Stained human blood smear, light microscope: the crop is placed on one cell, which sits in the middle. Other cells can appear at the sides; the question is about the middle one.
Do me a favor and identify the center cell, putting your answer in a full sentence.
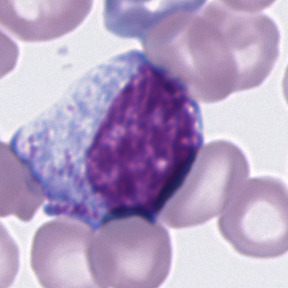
At the crop's centre, the cell is a myelocyte.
